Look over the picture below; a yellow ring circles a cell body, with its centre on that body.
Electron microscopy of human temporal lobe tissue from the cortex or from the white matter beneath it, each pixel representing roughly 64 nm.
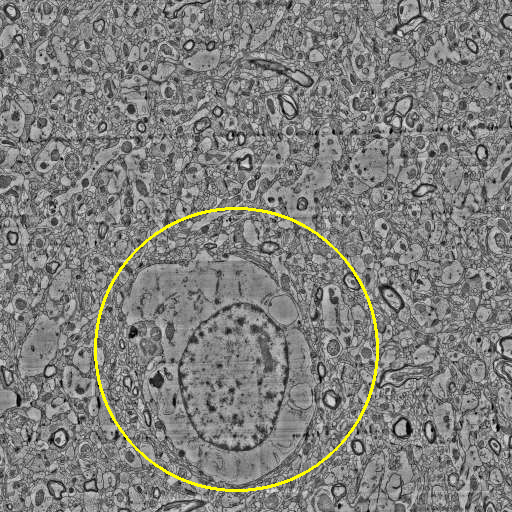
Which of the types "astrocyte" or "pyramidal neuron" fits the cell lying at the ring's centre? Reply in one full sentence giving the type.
The picture shows an astrocyte at the centre of the yellow ring.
